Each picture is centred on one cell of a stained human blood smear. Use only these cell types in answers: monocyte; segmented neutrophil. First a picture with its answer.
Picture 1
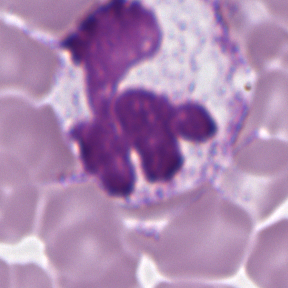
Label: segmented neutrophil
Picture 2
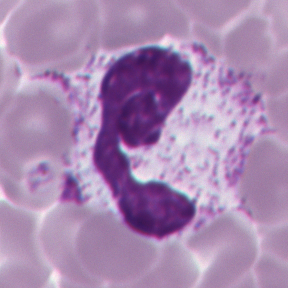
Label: segmented neutrophil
